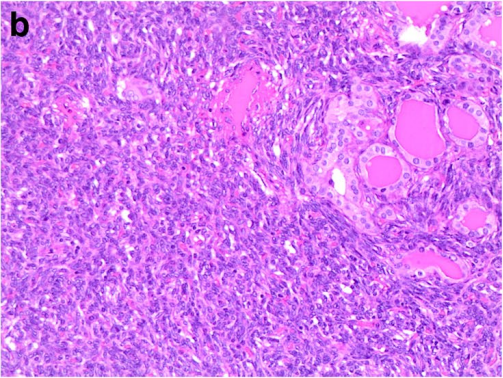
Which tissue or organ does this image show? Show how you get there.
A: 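At upper right there are follicles lined by cuboidal epithelium. The follicles contain homogeneous pink colloid. A dense sheet of spindle cells fills the rest of the field.
Conclusion: thyroid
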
